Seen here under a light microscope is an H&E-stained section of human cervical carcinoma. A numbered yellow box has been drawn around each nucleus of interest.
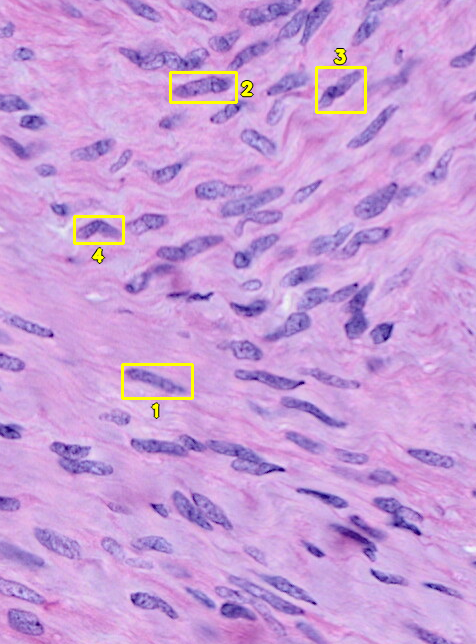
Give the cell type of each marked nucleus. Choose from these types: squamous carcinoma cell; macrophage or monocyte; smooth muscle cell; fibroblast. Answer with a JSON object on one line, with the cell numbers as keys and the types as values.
{"1": "fibroblast", "2": "smooth muscle cell", "3": "smooth muscle cell", "4": "smooth muscle cell"}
